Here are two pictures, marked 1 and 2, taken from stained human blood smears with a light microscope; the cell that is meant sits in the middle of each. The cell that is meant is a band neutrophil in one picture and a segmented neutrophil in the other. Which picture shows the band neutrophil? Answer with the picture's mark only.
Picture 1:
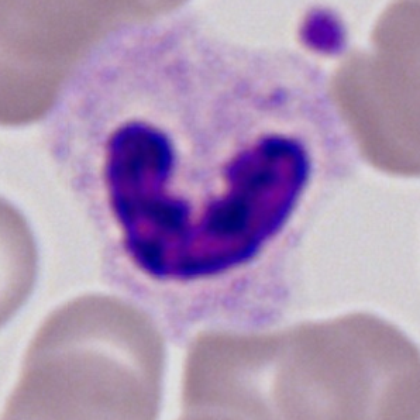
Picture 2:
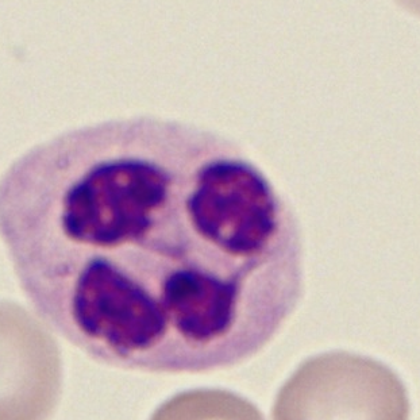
1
